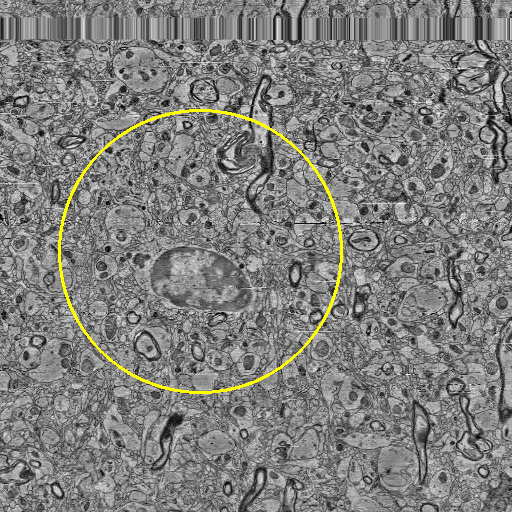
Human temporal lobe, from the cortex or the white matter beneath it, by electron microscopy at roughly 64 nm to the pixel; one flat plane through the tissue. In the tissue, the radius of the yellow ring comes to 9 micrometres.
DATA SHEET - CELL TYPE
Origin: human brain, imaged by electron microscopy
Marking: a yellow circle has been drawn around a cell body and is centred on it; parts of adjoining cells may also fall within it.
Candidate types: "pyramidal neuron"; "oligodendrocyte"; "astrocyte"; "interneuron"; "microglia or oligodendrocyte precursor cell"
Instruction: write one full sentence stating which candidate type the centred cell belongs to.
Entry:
The cell body at the centre of the yellow ring in this micrograph belongs to a microglial cell or oligodendrocyte precursor cell.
